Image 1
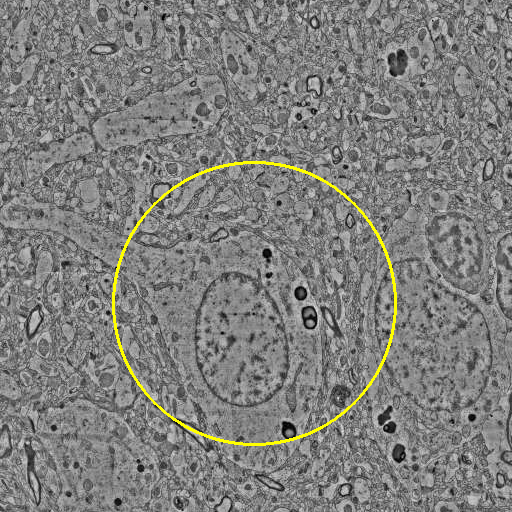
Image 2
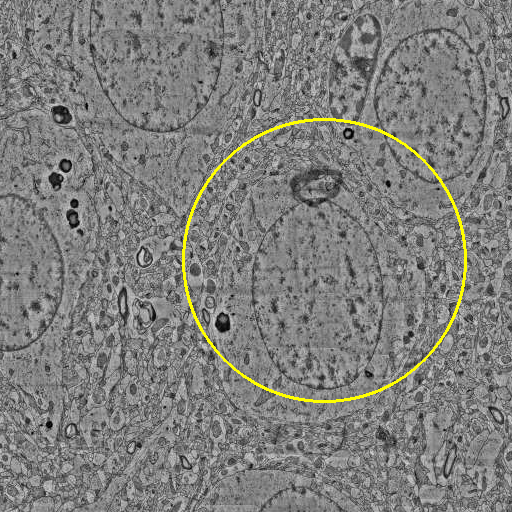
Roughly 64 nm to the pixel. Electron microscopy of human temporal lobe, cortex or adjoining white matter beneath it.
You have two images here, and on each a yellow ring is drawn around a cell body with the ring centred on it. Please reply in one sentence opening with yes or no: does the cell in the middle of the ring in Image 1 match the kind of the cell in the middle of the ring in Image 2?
Yes, the two images show cells of one kind at the centres of their rings.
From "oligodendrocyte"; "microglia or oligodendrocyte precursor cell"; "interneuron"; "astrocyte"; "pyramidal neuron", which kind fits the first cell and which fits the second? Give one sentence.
Each of the two rings is centred on a pyramidal neuron.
